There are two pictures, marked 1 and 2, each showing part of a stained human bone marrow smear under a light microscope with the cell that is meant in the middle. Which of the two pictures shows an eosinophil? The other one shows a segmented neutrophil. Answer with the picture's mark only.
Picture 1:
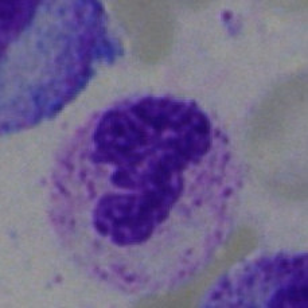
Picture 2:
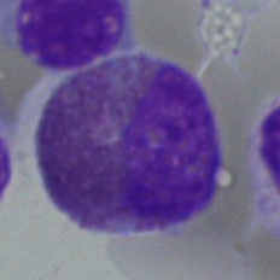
2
